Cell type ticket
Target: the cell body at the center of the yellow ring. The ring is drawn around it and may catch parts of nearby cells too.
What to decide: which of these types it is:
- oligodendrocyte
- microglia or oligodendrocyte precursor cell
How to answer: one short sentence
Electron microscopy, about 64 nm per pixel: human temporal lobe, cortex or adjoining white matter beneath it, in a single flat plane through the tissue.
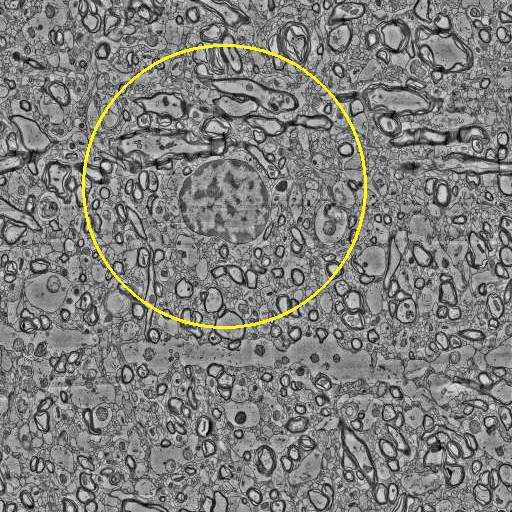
The cell at the center of the ring is a microglial cell or oligodendrocyte precursor cell.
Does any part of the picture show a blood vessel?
No, none appears.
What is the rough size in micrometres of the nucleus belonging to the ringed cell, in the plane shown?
In this plane, approximately 6 by 5 micrometers.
